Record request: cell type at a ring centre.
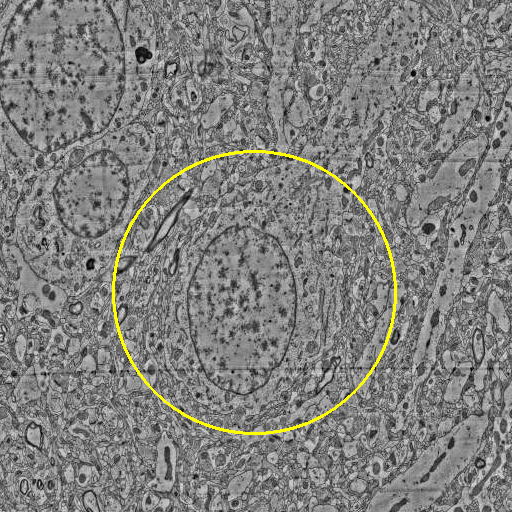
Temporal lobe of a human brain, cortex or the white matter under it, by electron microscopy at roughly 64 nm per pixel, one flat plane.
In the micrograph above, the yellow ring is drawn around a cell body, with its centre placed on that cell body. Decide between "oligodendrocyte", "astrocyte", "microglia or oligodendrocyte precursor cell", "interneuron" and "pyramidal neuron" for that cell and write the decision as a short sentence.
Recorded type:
The cell centred in the yellow ring is a pyramidal neuron.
